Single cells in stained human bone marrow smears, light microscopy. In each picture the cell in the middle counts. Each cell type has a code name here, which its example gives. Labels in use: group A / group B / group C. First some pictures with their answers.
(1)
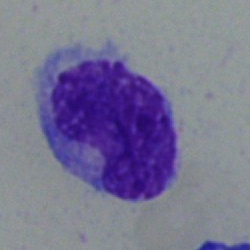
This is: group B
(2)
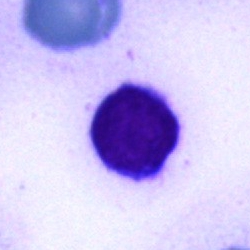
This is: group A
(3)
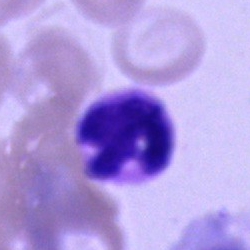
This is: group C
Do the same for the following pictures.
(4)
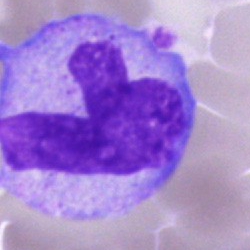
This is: group B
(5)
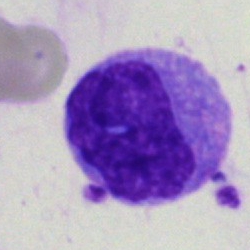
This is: group B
